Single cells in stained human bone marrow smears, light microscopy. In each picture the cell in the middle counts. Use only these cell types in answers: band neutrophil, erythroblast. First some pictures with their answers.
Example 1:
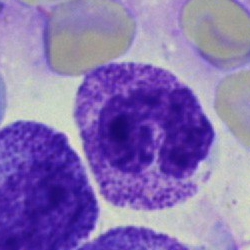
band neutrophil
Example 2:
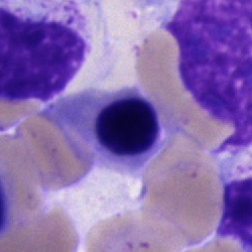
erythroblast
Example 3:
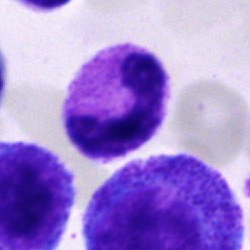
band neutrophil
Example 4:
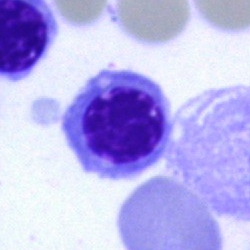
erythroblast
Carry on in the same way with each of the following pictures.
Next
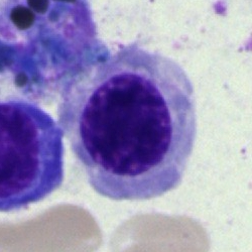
erythroblast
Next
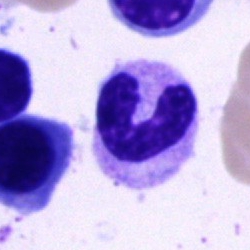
band neutrophil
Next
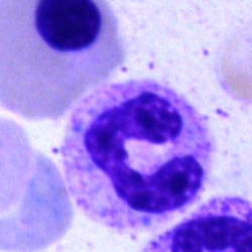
band neutrophil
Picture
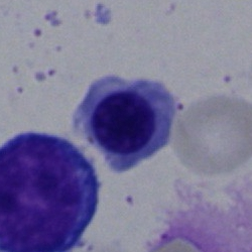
erythroblast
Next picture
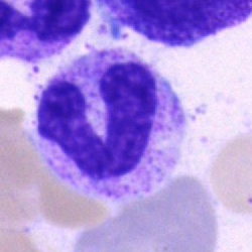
band neutrophil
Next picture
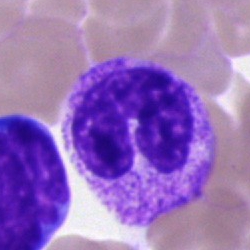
band neutrophil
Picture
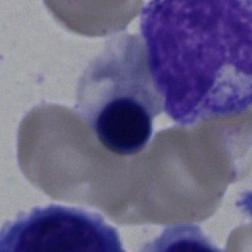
erythroblast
